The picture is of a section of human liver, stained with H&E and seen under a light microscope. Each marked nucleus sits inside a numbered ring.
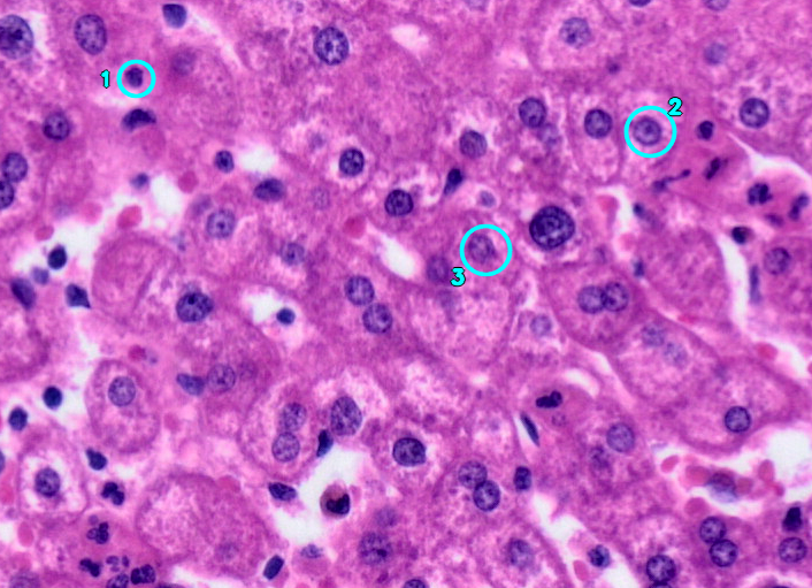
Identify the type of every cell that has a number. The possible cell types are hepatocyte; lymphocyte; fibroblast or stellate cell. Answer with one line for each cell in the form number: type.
1: lymphocyte
2: hepatocyte
3: hepatocyte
